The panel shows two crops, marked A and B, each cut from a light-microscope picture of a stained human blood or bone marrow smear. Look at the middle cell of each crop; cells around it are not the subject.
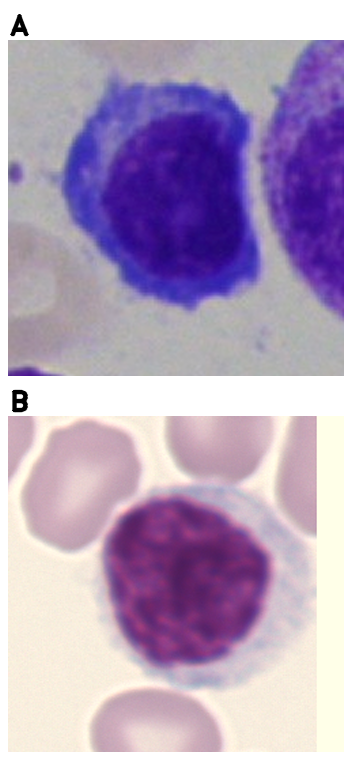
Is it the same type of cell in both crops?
no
